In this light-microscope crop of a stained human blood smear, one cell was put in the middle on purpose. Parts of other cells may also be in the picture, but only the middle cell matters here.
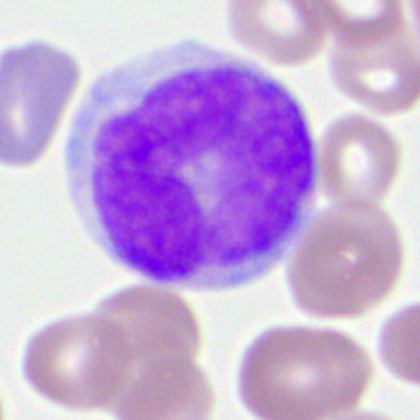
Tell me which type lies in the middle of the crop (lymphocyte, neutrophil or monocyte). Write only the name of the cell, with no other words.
monocyte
